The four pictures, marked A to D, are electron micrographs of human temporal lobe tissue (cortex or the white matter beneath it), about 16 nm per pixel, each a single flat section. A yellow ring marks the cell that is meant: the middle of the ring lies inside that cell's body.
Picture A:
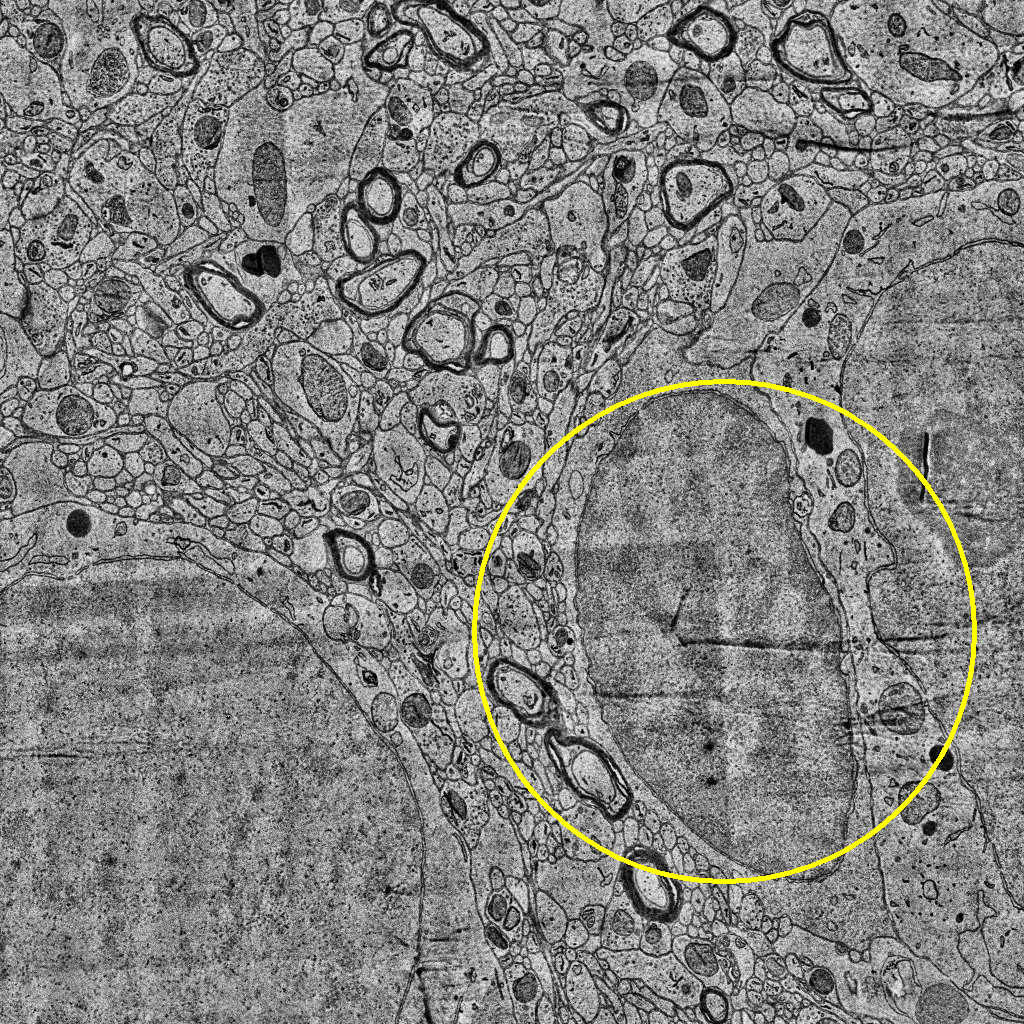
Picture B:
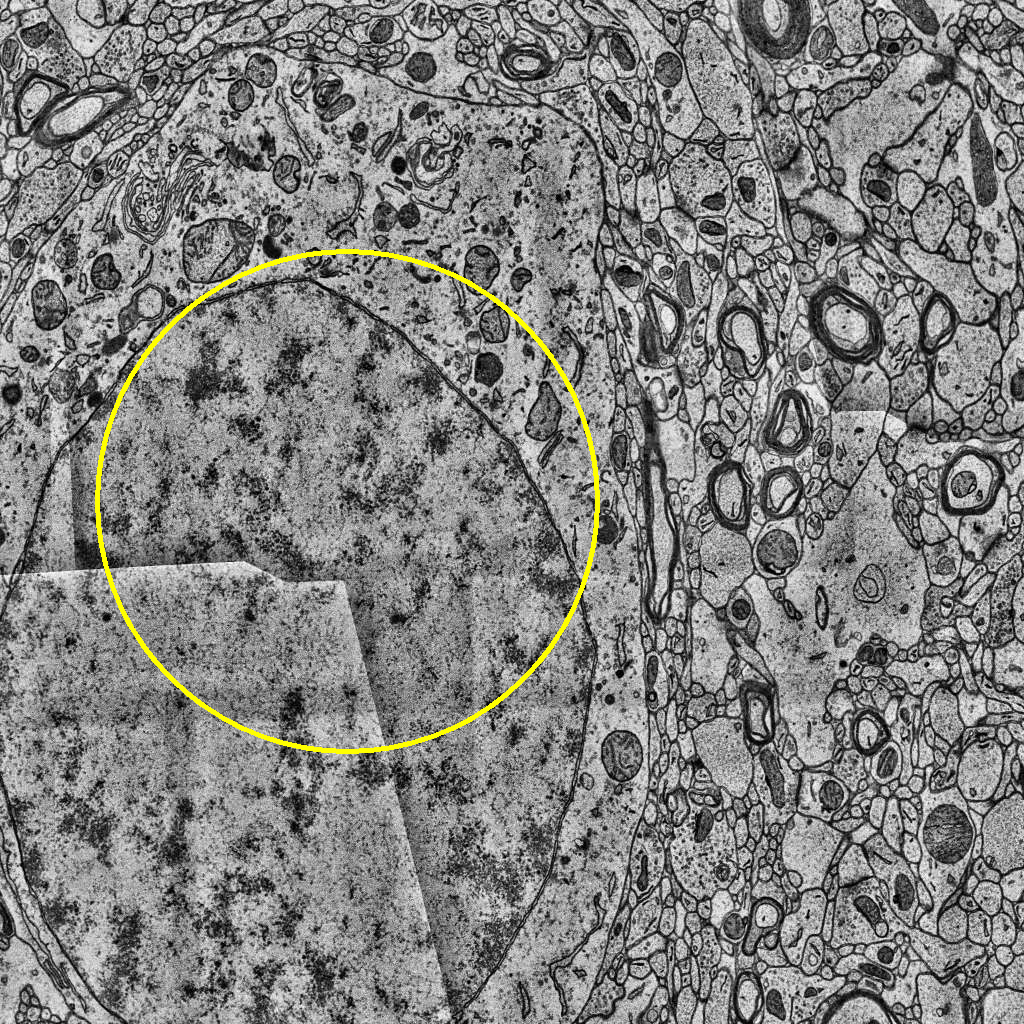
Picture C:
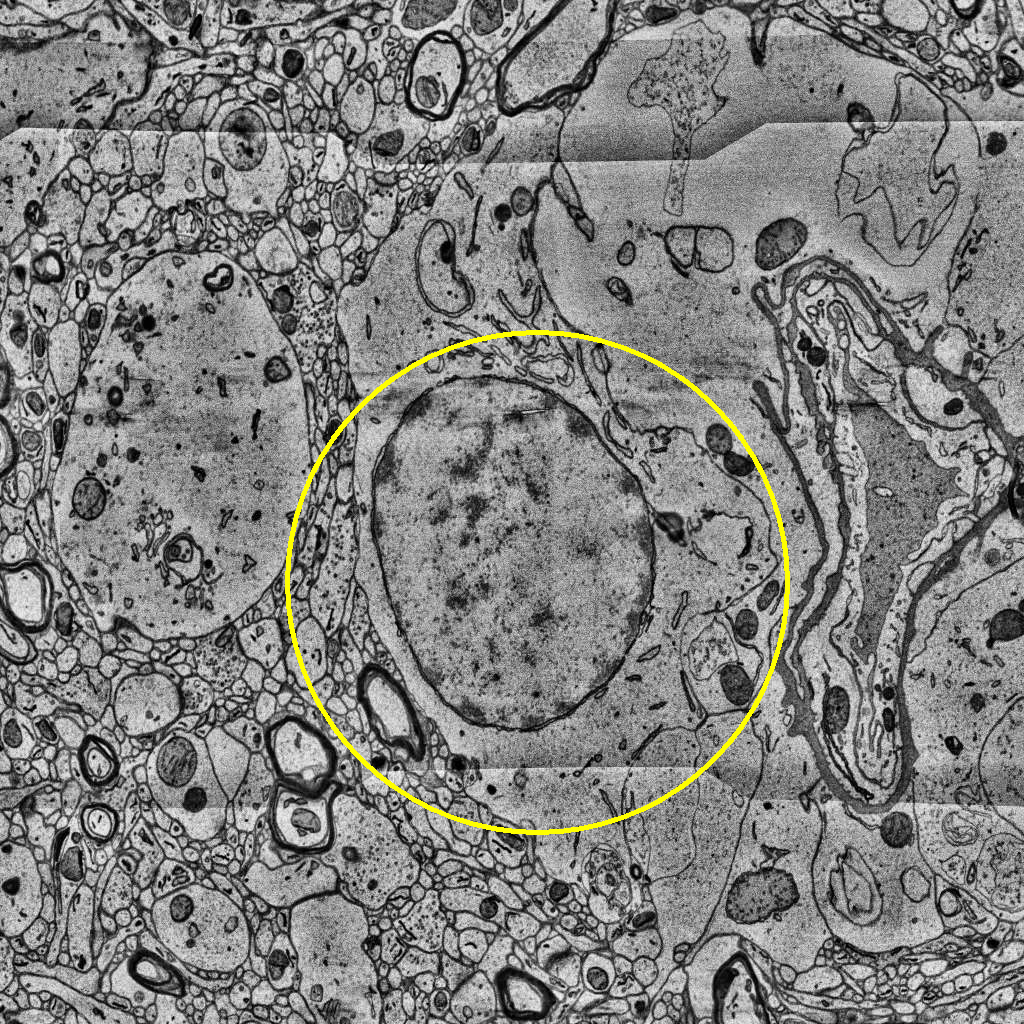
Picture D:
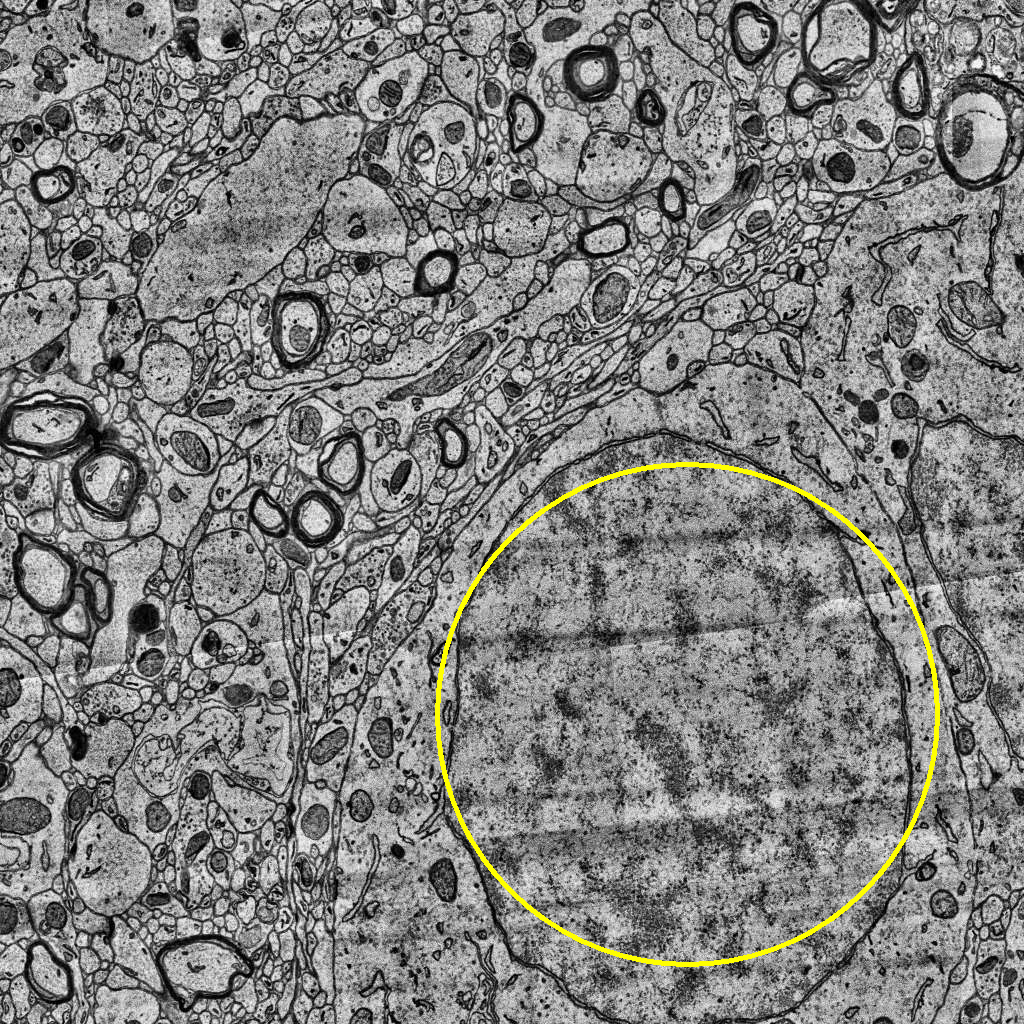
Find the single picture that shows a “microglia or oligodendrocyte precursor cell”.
The “microglia or oligodendrocyte precursor cell” is the one in picture C.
